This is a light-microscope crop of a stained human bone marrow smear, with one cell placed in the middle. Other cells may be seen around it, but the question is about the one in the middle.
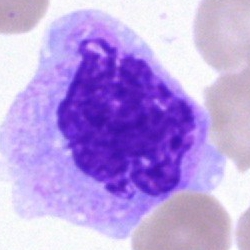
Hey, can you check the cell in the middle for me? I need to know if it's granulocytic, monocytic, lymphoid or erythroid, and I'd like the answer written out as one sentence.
The centered cell should be recorded as belonging to the monocytic lineage.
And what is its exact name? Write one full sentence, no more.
The cell found in the middle of this crop is a monocyte.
